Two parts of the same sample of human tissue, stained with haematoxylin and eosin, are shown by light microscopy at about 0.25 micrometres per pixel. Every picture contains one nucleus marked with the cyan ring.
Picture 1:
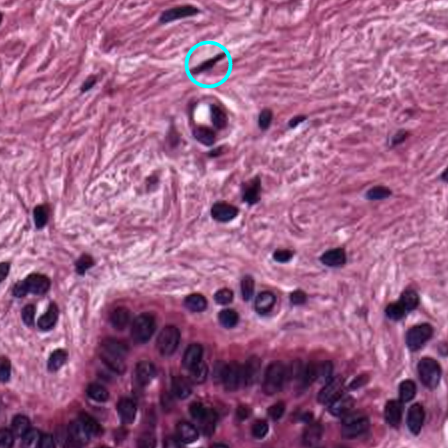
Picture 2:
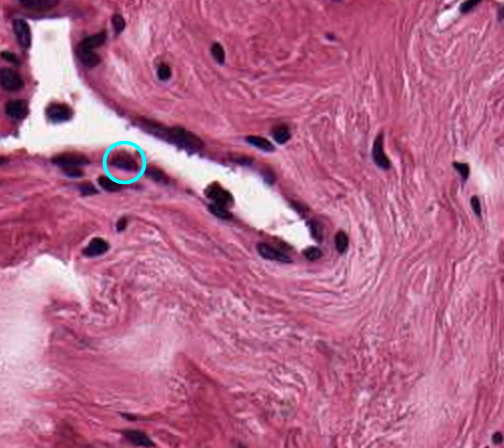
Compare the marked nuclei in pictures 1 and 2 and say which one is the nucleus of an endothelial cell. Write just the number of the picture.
2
